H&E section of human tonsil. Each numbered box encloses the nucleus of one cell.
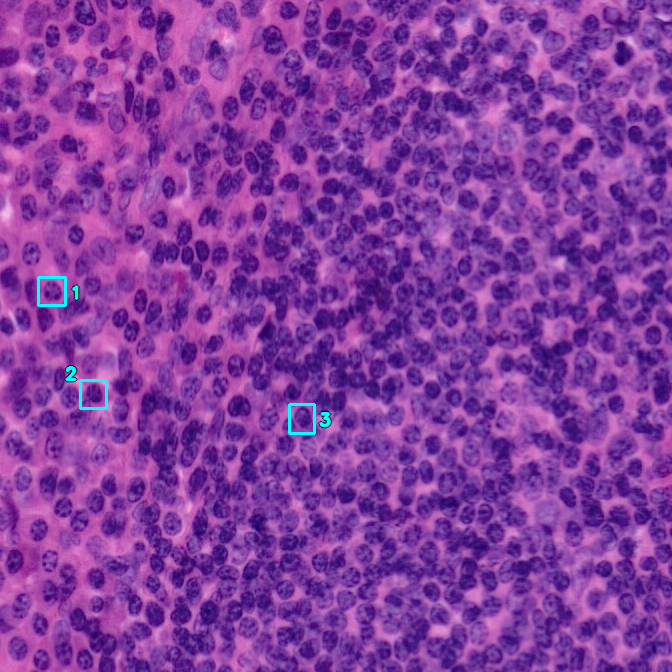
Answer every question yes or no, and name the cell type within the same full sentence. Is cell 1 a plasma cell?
Yes, the numbered nucleus 1 is that of a plasma cell.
